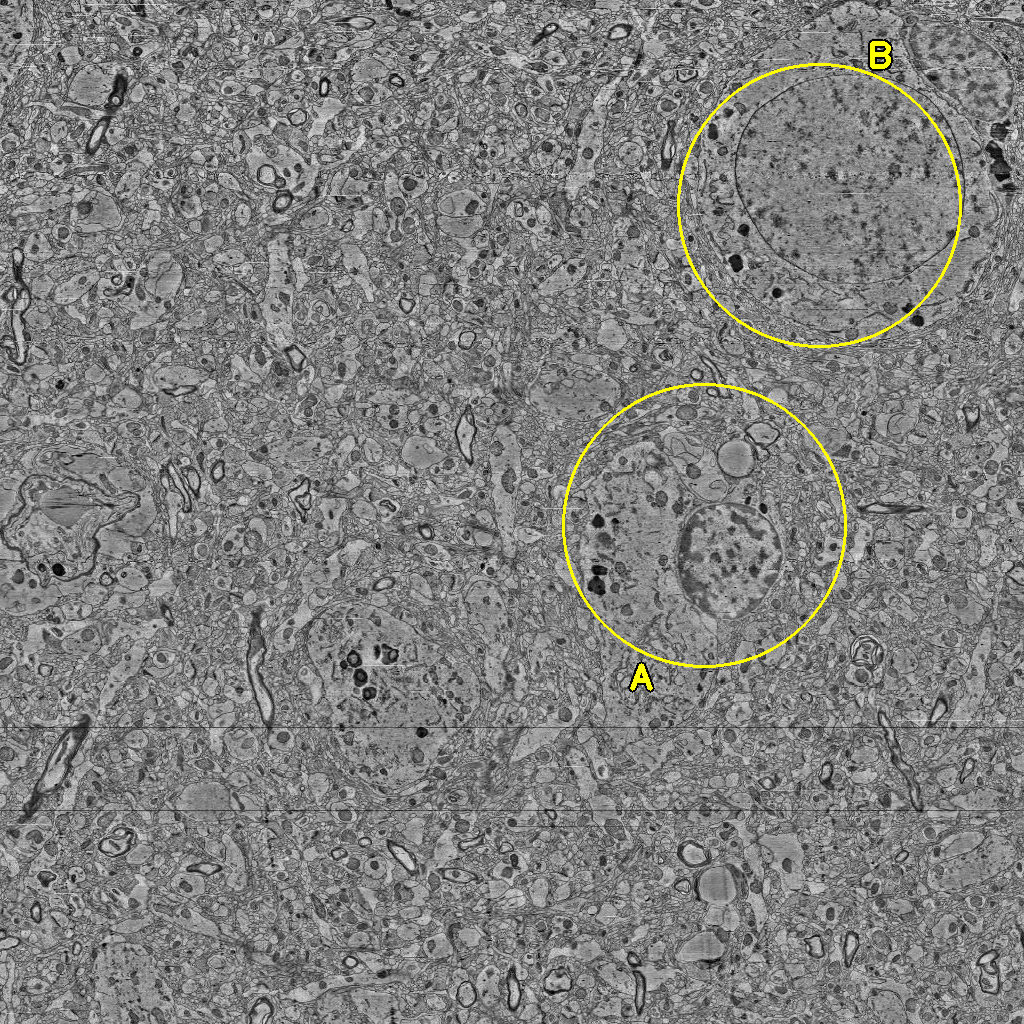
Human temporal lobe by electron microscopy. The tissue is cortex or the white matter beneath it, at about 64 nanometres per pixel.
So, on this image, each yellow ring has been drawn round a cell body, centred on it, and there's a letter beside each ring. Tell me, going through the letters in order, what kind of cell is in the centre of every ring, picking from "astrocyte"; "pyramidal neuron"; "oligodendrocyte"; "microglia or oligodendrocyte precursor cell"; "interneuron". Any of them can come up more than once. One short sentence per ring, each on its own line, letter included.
Ring A has been drawn round a microglial cell or oligodendrocyte precursor cell.
Ring B has been drawn round a pyramidal neuron.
